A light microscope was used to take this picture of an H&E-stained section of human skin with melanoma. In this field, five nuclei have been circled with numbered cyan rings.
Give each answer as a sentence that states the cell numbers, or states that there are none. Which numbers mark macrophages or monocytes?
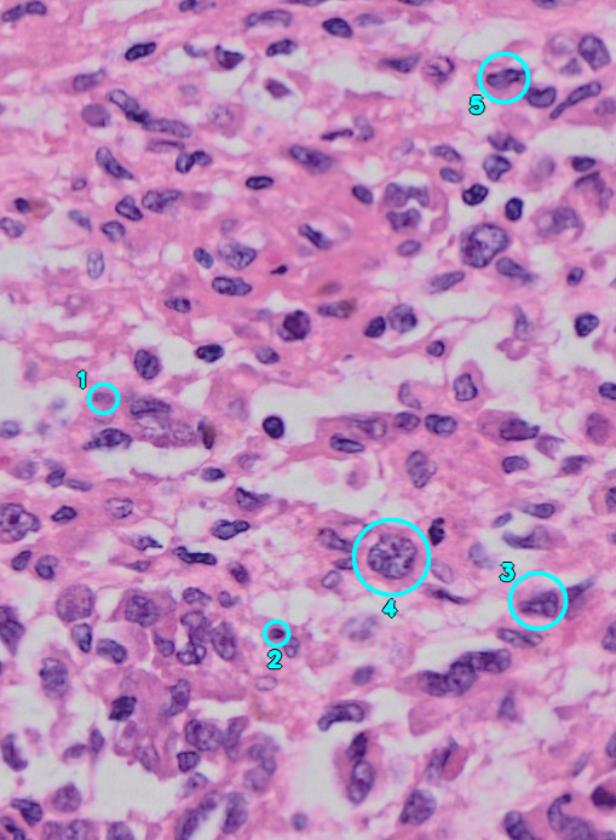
The cells that the numbers 1, 2 and 5 belong to are macrophages or monocytes.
